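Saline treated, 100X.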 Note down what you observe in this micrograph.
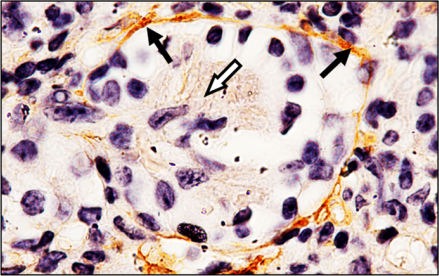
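Brown-orange stain is concentrated along the capsule and in patches at its edges, with fainter brown streaks in the surrounding tissue. Inside the tuft the cytoplasm is pale and the stain is weak. Around the glomerulus lie tubules whose cells have rounded to oval nuclei and pale pink-grey cytoplasm, with a few small dark nuclei between them.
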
